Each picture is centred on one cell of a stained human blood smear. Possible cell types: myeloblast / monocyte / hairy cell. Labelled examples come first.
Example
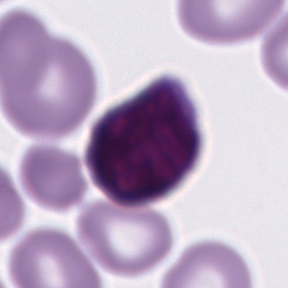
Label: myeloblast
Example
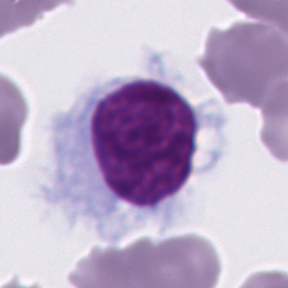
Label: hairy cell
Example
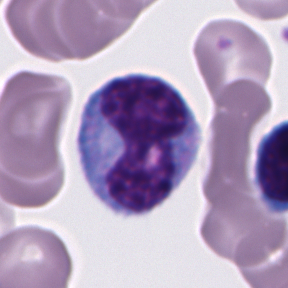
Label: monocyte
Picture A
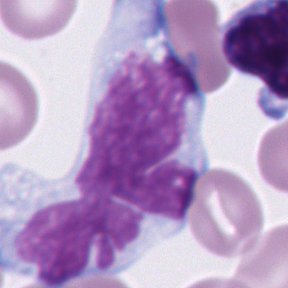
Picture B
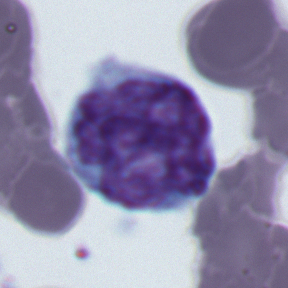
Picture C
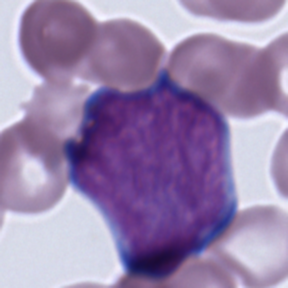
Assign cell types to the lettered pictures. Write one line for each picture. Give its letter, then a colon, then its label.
A: monocyte
B: monocyte
C: myeloblast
